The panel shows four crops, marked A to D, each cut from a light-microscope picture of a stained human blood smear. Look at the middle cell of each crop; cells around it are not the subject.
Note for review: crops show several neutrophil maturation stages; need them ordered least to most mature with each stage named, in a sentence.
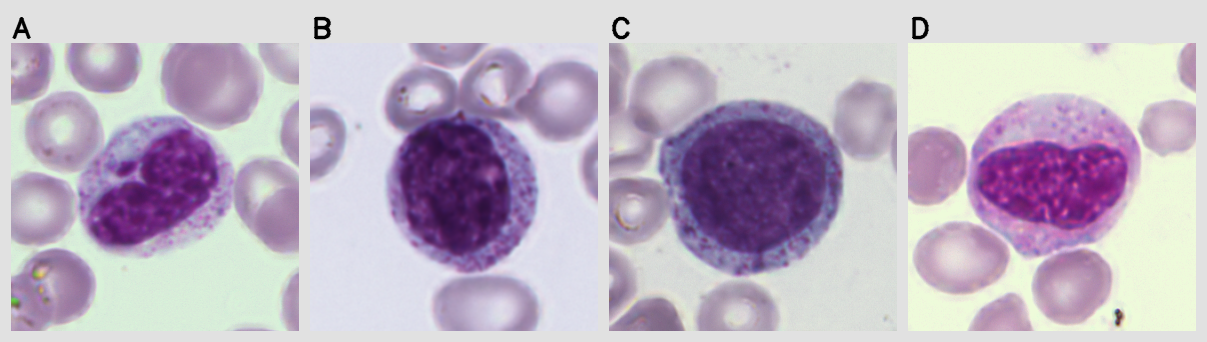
In terms of maturity, from least to most, the order is crop C (a promyelocyte), crop B (a myelocyte), crop D (a metamyelocyte) and crop A (a band neutrophil).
